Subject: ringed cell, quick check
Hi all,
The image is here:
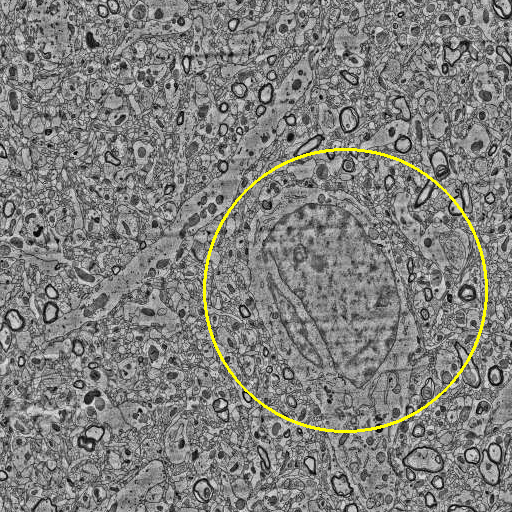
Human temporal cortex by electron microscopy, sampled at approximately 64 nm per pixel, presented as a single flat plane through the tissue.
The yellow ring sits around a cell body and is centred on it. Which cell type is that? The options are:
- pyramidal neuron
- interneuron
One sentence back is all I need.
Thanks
That ringed cell is an interneuron.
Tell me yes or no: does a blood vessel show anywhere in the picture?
No, none shows.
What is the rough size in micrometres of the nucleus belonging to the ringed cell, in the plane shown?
About 11 by 8 micrometres in this plane.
